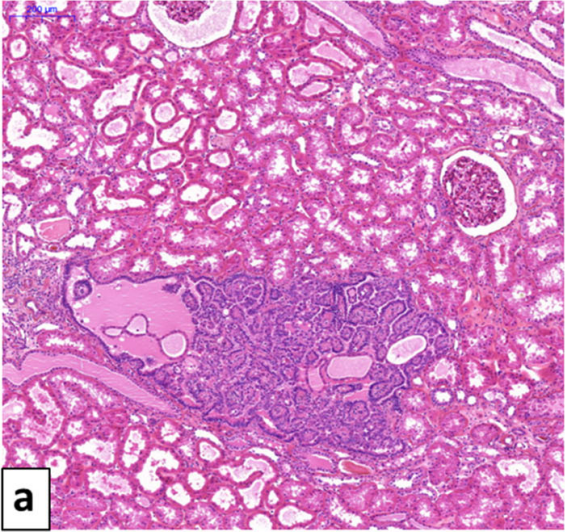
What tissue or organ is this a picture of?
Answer: Renal cortex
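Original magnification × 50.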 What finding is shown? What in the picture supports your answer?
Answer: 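A small, sharply bounded focus of darker, crowded papillary epithelium sits among normal tubules. The focus is small relative to the surrounding cortex. Normal tubules and a glomerulus surround the lesion.
Papillary adenoma.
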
